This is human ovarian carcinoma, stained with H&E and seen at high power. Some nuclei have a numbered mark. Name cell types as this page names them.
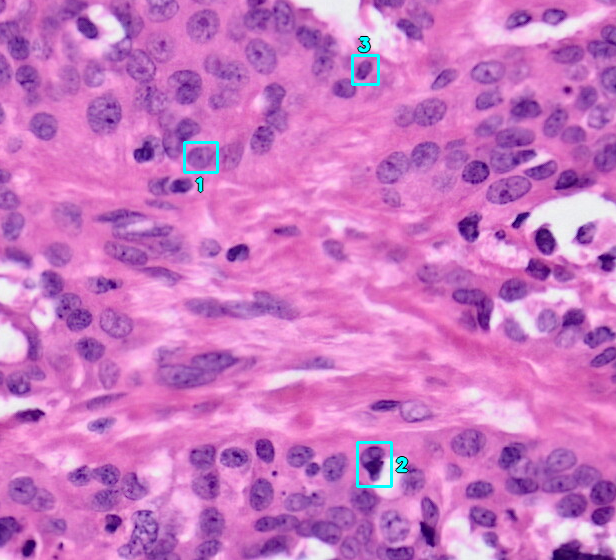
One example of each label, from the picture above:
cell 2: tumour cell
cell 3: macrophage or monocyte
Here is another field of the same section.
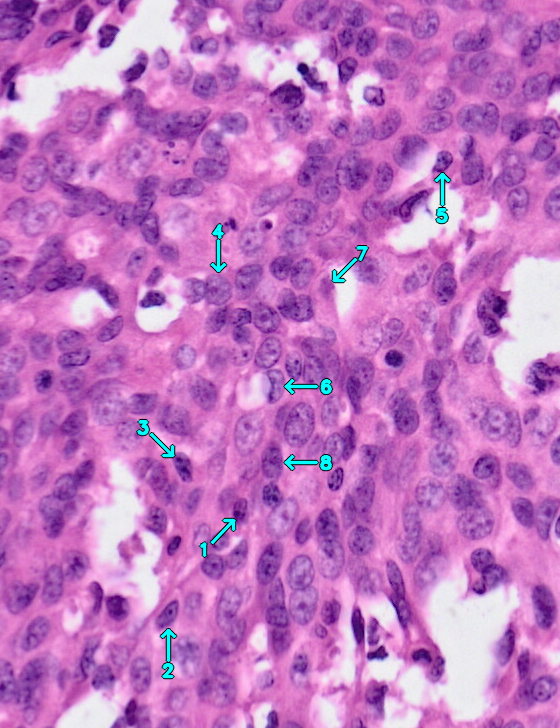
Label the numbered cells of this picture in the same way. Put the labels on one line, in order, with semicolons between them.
tumour cell; macrophage or monocyte; macrophage or monocyte; tumour cell; macrophage or monocyte; macrophage or monocyte; tumour cell; tumour cell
